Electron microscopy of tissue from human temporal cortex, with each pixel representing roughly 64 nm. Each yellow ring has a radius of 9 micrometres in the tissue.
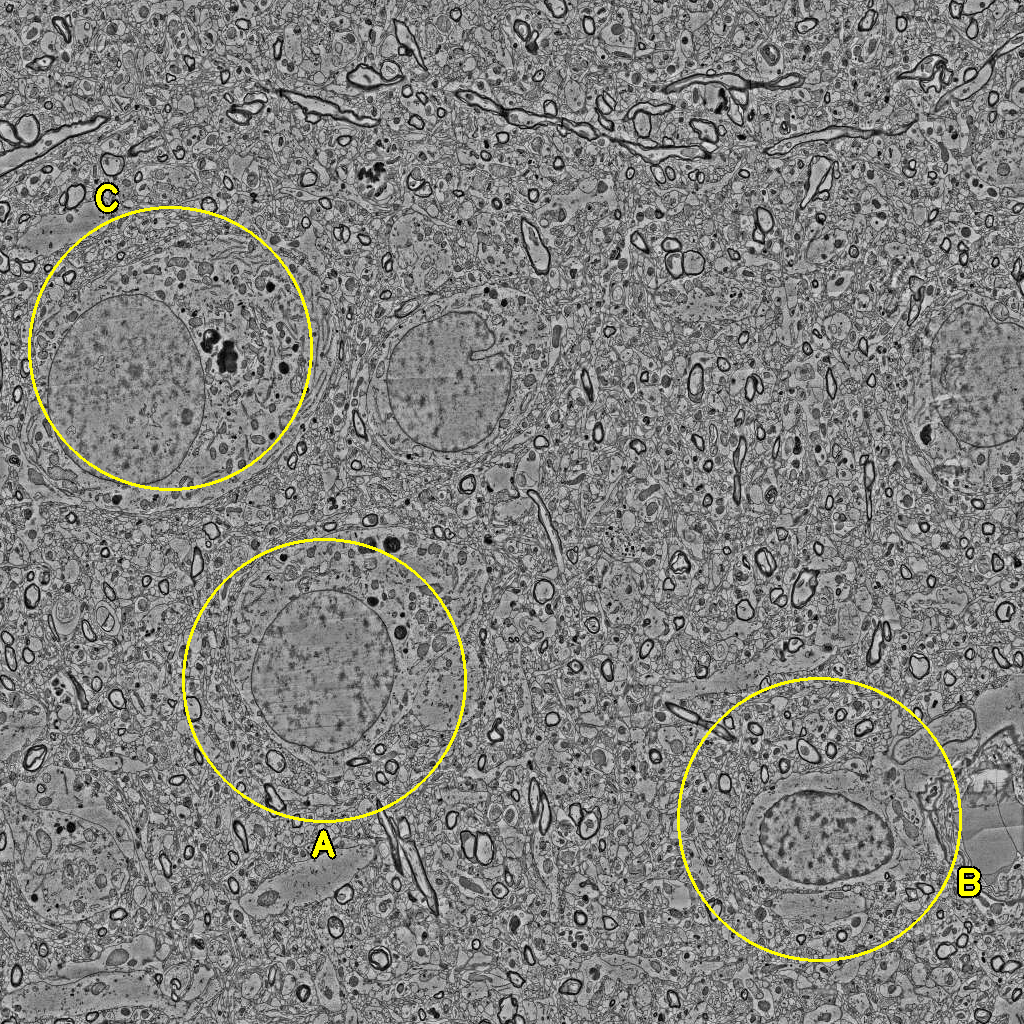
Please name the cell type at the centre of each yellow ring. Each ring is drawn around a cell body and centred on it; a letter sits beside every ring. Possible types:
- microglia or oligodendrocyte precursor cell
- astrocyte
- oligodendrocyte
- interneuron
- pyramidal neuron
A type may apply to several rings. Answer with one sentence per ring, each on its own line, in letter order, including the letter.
Ring A is centred on the cell body of a pyramidal neuron.
Ring B is centred on the cell body of a microglial cell or oligodendrocyte precursor cell.
Ring C is centred on the cell body of an interneuron.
